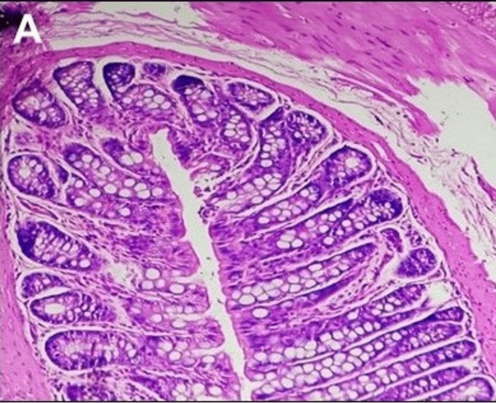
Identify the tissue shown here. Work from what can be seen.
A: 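Colon. Straight, parallel tubular glands packed with pale goblet cells. A thick pink smooth muscle layer lies outside the mucosa. No villi project into the lumen.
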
